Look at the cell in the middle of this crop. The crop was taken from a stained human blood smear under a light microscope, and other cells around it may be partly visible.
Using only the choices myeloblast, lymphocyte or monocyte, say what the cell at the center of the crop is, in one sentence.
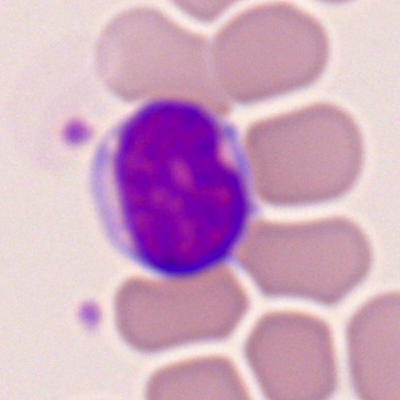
The cell featured at the centre of this crop is a lymphocyte.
